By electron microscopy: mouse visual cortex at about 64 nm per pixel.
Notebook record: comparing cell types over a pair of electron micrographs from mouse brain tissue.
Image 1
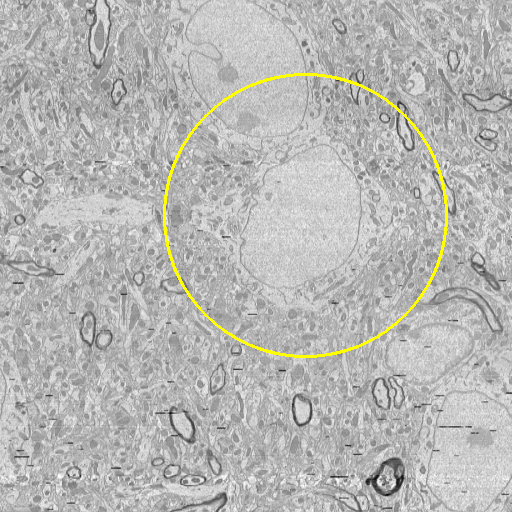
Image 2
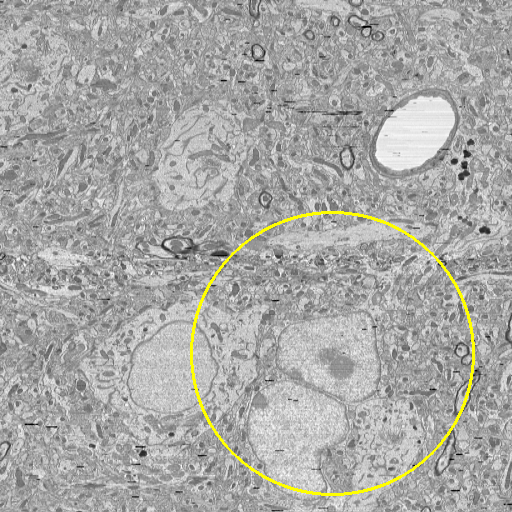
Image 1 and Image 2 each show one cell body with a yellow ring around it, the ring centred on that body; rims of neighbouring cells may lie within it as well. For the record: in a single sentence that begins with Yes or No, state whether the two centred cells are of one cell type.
No, two cell types are found among the centred cells of Image 1 and Image 2.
